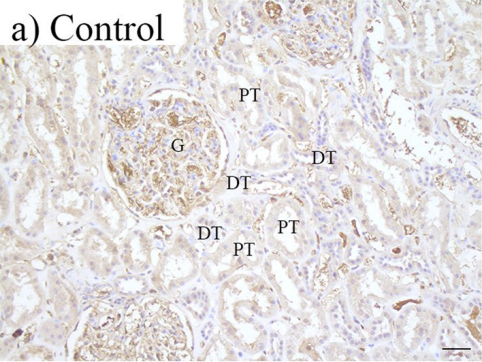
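This is renal cortex with a round glomerulus near the upper left, surrounded by densely packed tubules, and part of a second glomerulus at the lower left corner. The tubular epithelium is only faintly tan, with small blue nuclei along the tubule walls. Within the glomerular tuft and in some small vessels between tubules, brown deposits are seen in capillary spaces. The tubules are closely apposed with narrow lumens and little interstitial tissue between them.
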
